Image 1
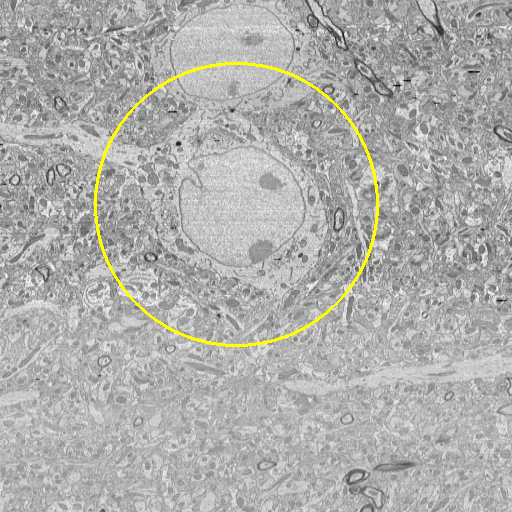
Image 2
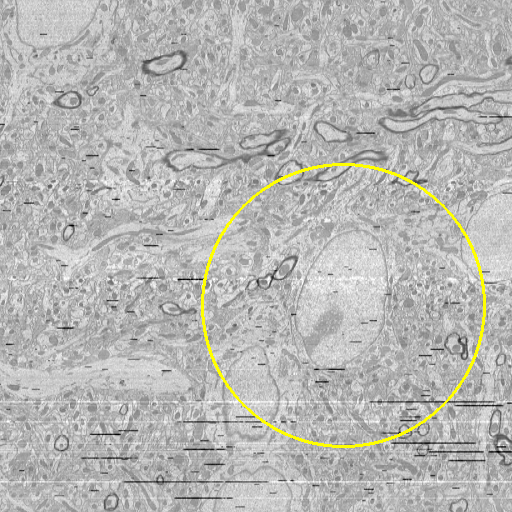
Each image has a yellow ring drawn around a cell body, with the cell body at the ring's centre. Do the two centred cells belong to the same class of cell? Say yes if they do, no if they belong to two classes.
no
